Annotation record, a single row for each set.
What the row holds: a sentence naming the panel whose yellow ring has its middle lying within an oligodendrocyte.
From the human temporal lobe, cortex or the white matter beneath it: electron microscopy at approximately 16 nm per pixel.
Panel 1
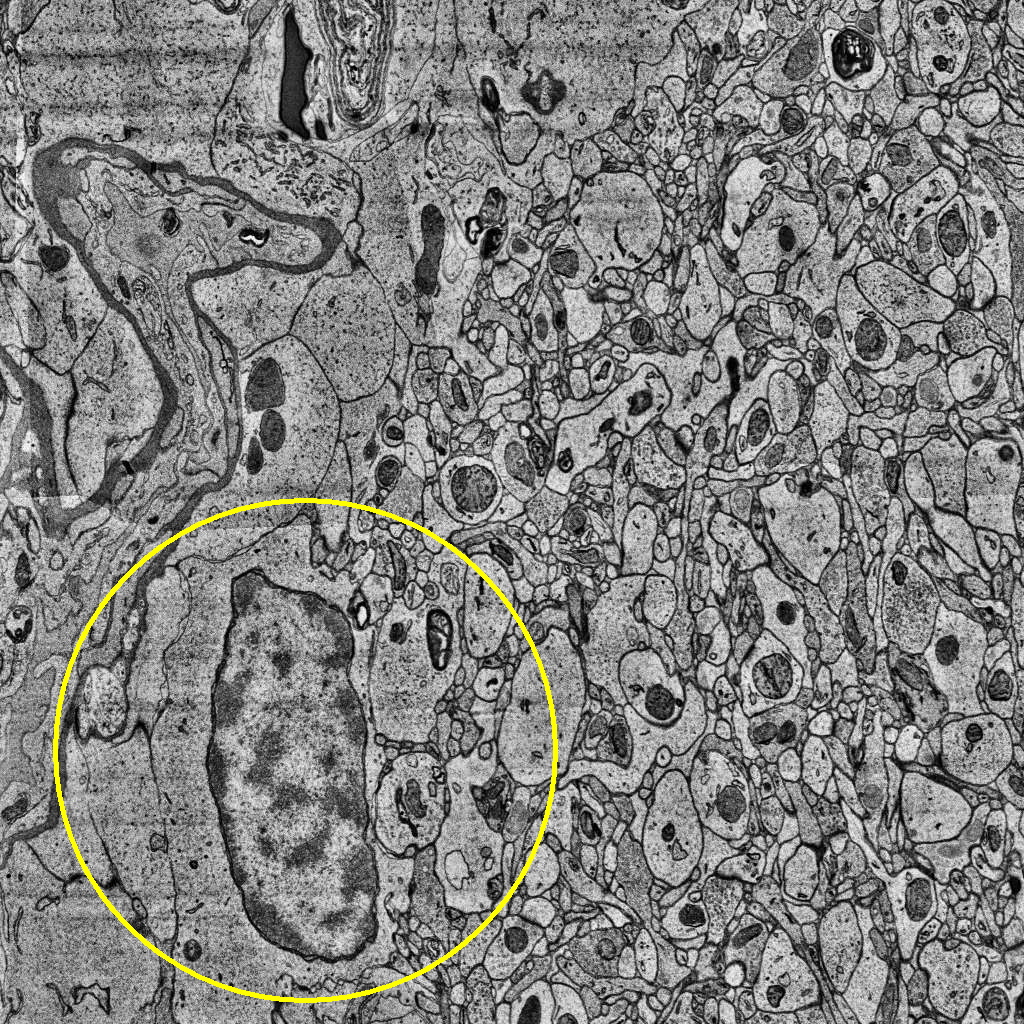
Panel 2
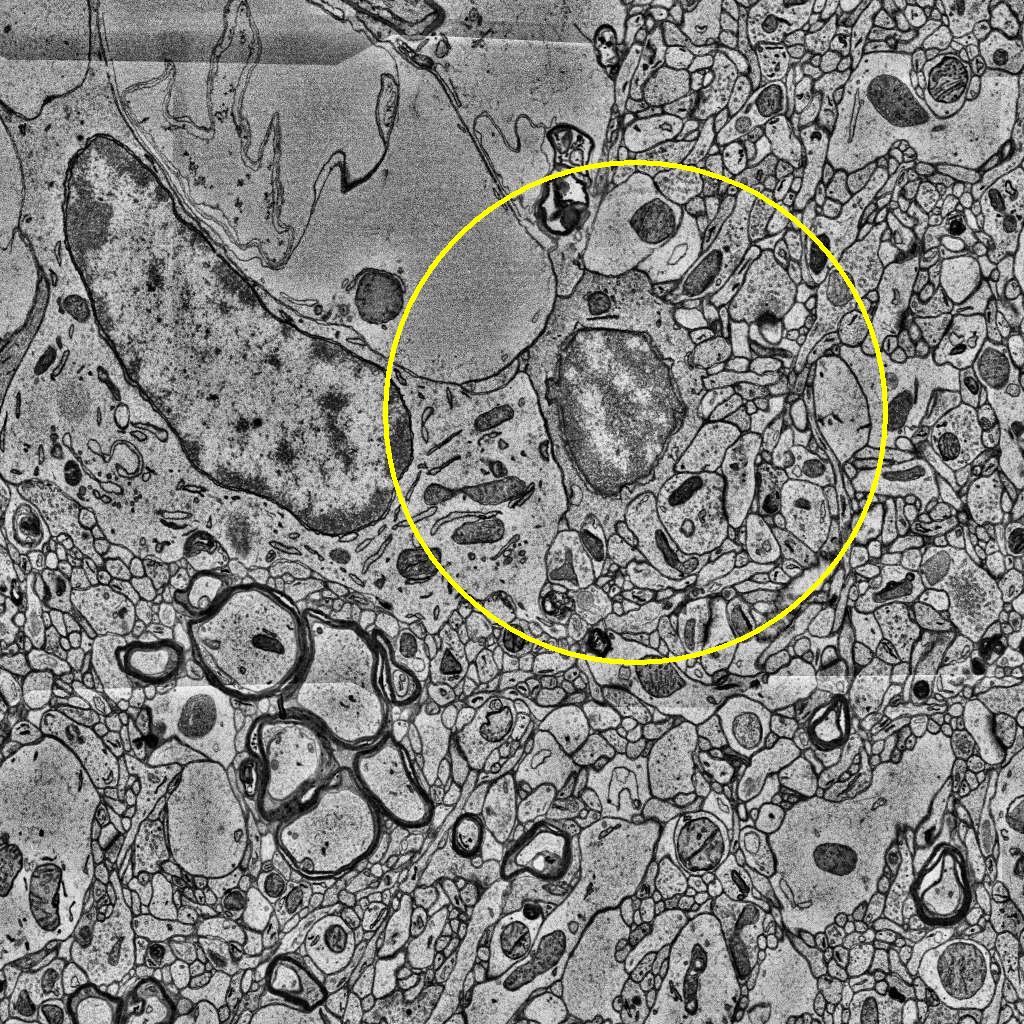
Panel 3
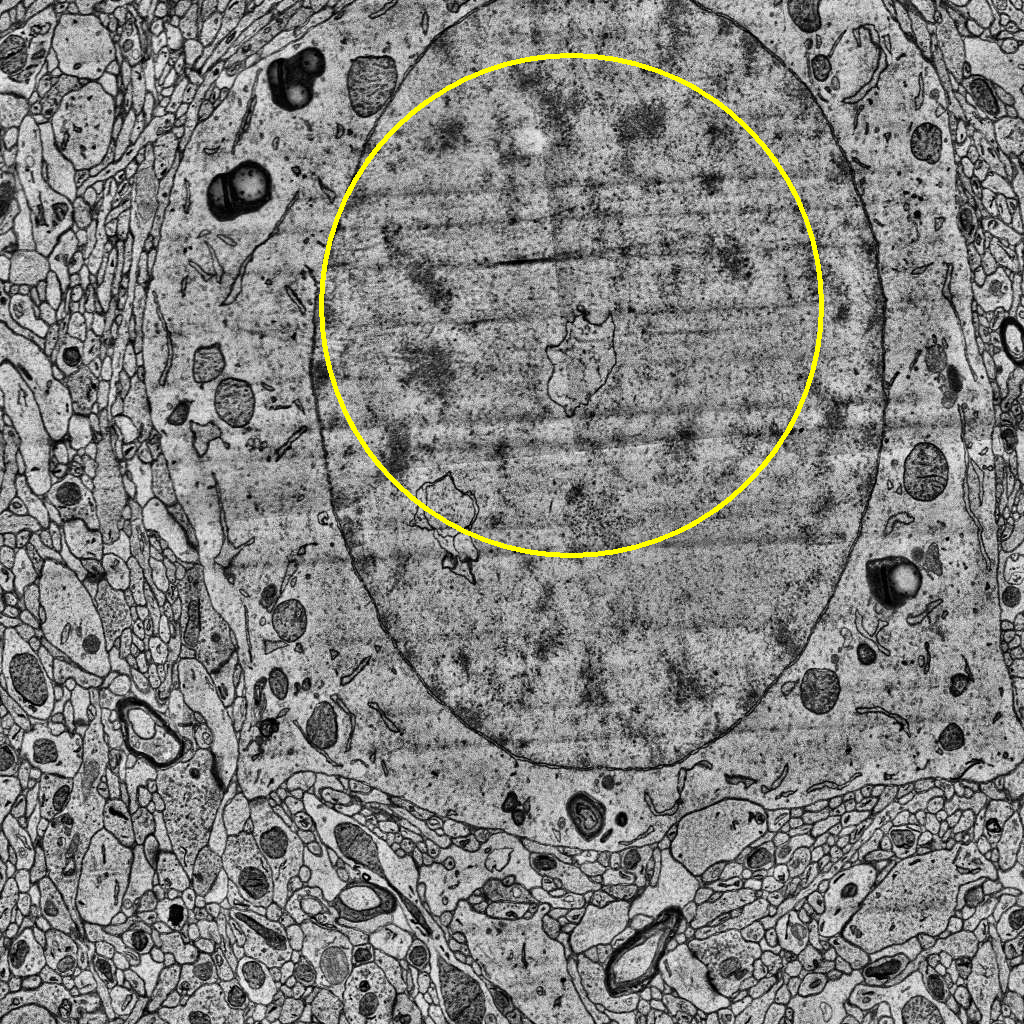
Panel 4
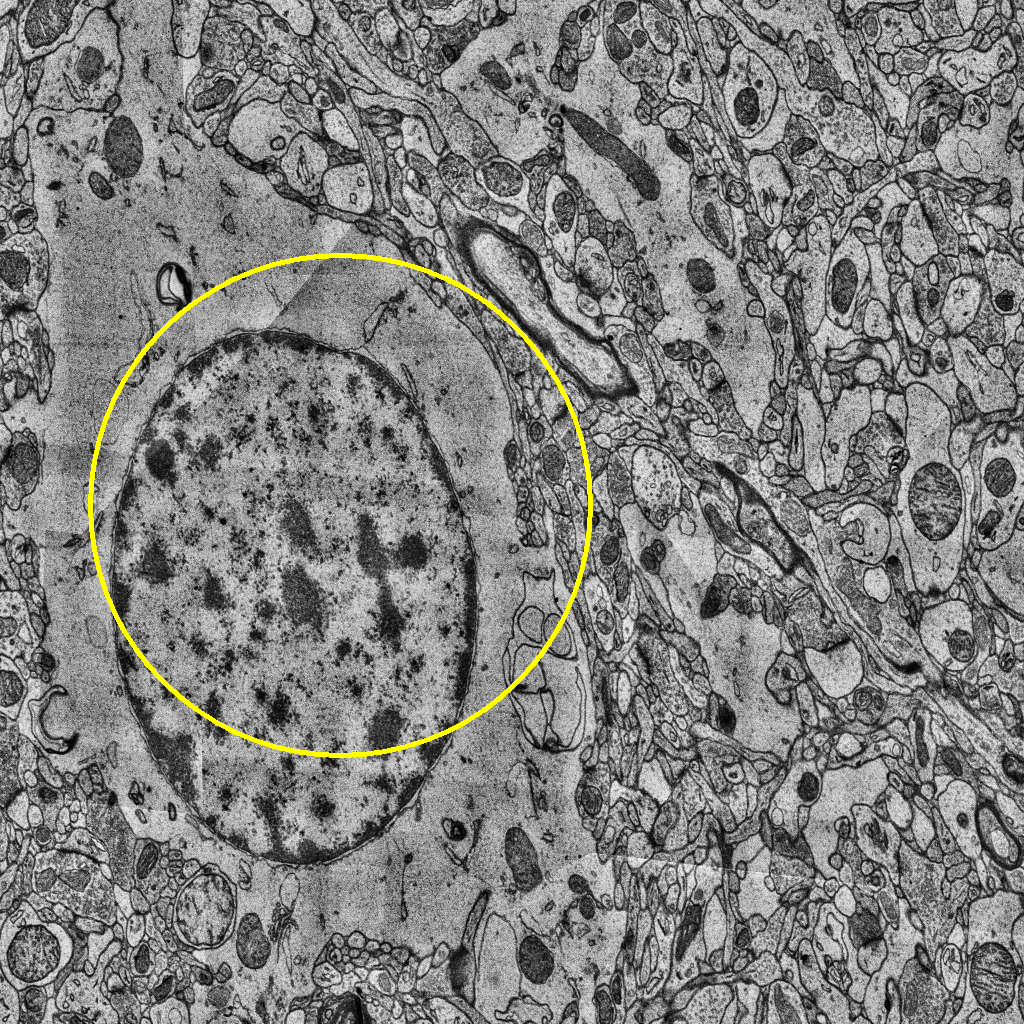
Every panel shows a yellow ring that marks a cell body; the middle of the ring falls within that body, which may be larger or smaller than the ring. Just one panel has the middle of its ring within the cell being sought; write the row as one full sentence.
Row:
In panel 2, the middle of the yellow ring lies within the cell that is sought.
